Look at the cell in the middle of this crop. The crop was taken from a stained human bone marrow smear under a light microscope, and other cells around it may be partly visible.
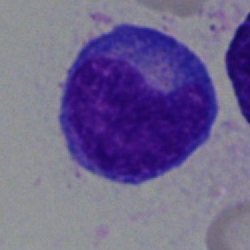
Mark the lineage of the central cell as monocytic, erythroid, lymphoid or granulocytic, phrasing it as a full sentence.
In terms of lineage, the cell in the middle is monocytic.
